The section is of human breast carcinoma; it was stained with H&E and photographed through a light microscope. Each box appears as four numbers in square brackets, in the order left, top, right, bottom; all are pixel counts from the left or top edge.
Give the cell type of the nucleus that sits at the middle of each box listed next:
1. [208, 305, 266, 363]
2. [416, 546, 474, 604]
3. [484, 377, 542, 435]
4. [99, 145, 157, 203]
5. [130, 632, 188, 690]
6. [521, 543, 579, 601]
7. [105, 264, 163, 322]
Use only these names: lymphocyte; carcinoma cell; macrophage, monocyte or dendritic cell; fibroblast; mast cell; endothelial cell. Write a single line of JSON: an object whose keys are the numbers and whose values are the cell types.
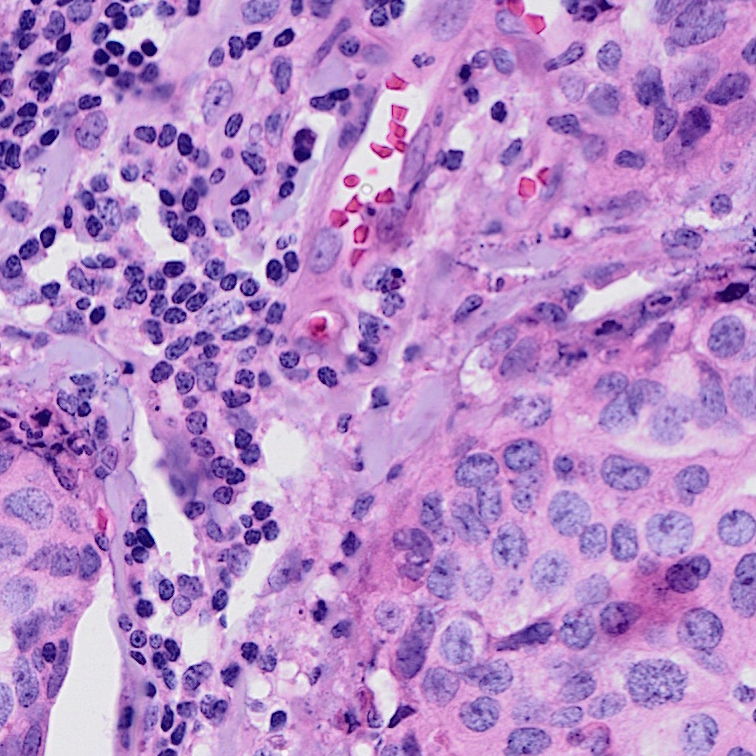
{"1": "lymphocyte", "2": "carcinoma cell", "3": "carcinoma cell", "4": "lymphocyte", "5": "lymphocyte", "6": "carcinoma cell", "7": "lymphocyte"}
